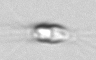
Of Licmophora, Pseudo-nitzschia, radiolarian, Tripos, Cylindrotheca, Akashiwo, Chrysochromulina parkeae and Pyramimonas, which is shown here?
Chrysochromulina parkeae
